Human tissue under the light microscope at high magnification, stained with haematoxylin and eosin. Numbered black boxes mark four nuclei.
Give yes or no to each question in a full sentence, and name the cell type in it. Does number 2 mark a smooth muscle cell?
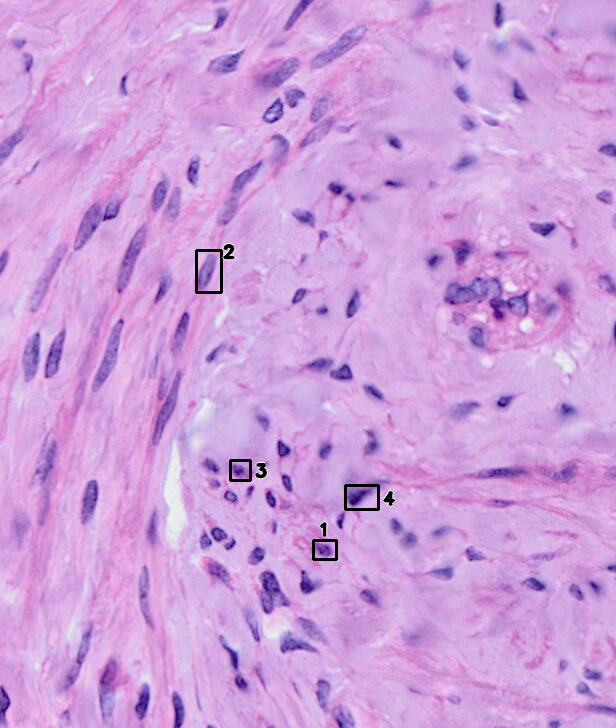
Yes, the nucleus numbered 2 belongs to a smooth muscle cell.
